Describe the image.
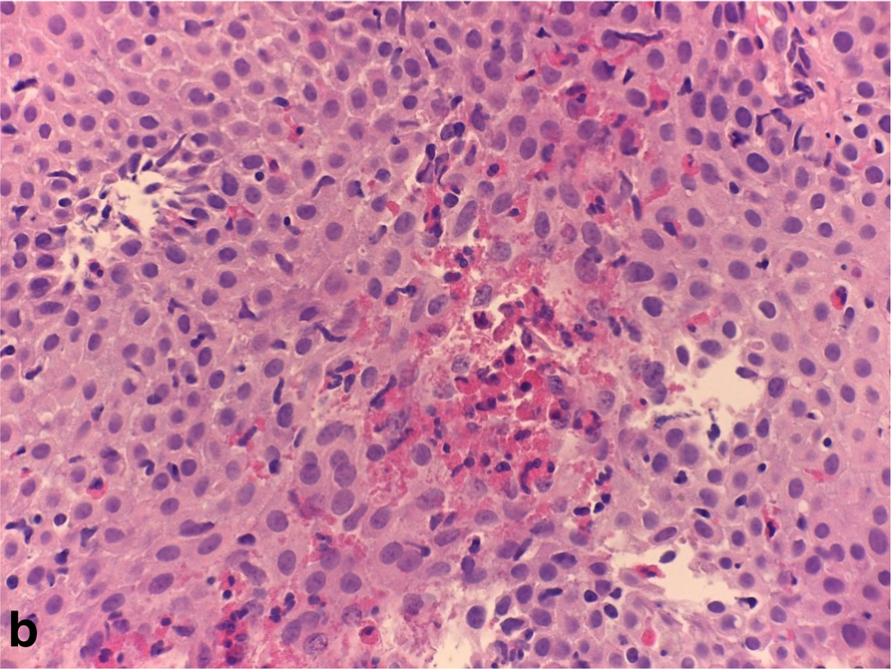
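In the centre a dense cluster of cells with bright red granular cytoplasm and small dark bilobed or lobed nuclei lies within the epithelium, with loose red granules around it. Further single eosinophils are scattered between the epithelial cells, and a few small empty spaces are lined by elongated, darker nuclei.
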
